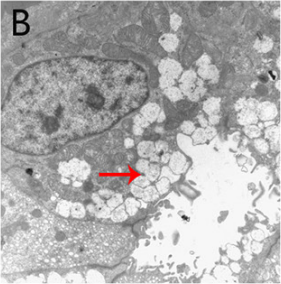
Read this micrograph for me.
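A cell with a large oval nucleus, granular chromatin and a dense nucleolus sits in the upper left. Beside it the cytoplasm is crowded with clusters of round, pale, electron-lucent vacuoles of varying size, many holding faint flocculent material, and they border a wide empty space to the right. Darker cytoplasm with organelles remains around the nucleus. These clustered clear spaces are vacuolization of the cytoplasm, a marked departure from the compact, organelle-filled cytoplasm of an intact cell.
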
